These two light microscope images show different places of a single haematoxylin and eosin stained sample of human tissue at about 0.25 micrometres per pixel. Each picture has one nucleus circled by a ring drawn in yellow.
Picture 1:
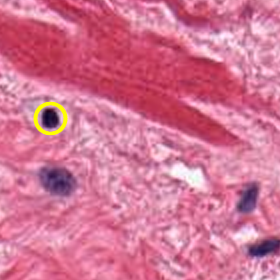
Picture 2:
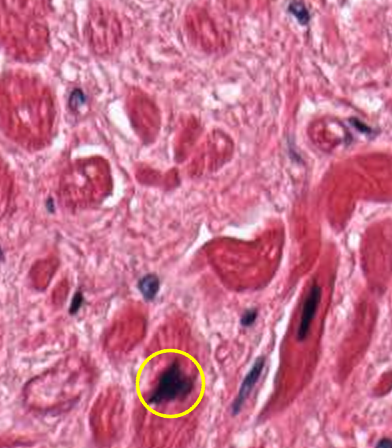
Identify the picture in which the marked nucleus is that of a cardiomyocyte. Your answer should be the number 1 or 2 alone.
2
